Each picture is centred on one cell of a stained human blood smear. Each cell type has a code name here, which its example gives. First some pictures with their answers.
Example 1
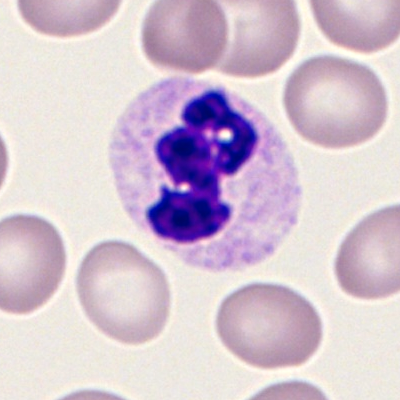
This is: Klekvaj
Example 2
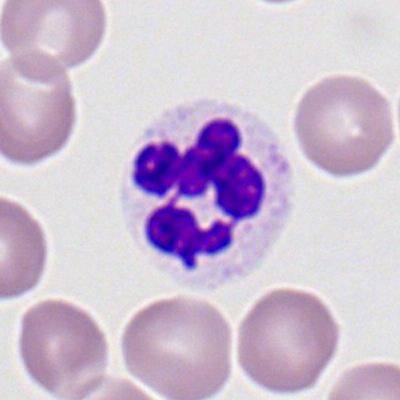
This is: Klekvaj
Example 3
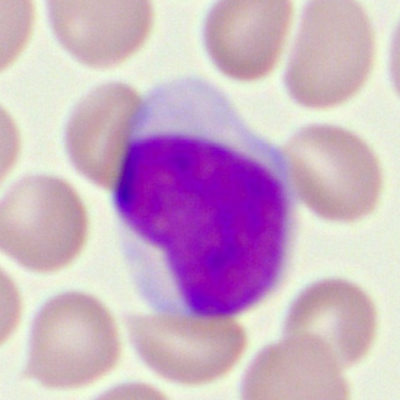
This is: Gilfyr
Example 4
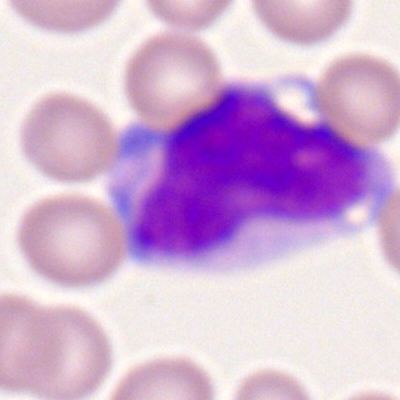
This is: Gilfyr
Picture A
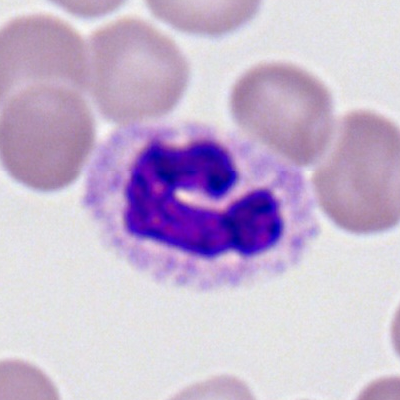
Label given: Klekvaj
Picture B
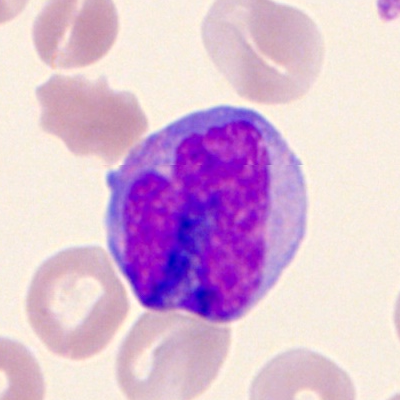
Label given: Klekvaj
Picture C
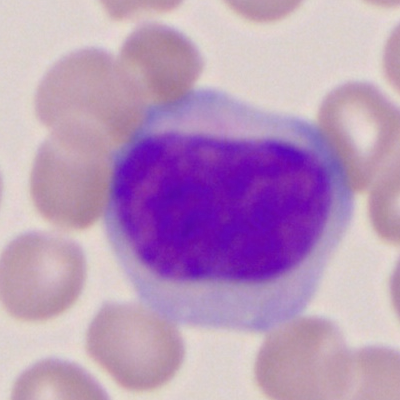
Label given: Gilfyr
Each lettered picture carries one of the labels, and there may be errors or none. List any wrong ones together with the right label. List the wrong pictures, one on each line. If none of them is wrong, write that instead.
Wrong: B (Klekvaj); correct: Gilfyr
